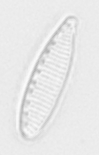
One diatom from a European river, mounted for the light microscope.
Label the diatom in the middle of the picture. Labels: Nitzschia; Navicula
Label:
Nitzschia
